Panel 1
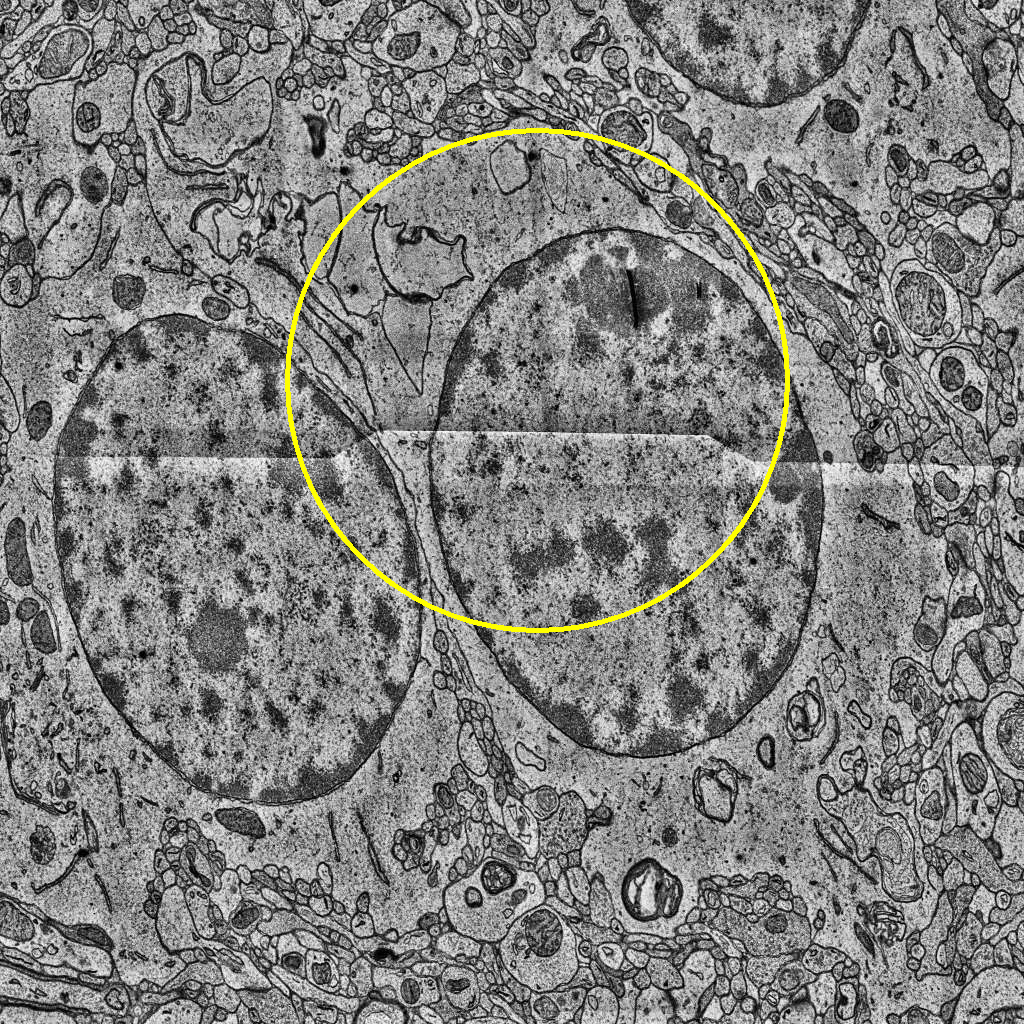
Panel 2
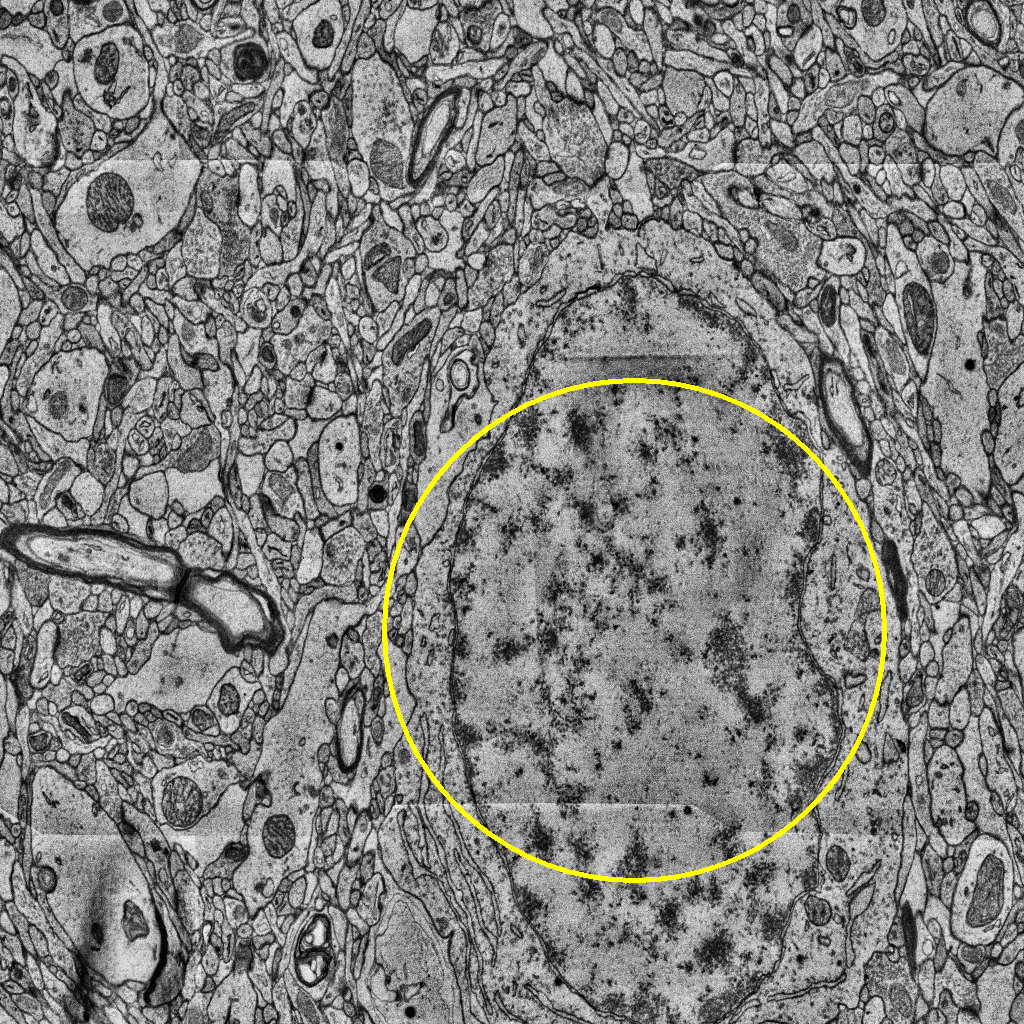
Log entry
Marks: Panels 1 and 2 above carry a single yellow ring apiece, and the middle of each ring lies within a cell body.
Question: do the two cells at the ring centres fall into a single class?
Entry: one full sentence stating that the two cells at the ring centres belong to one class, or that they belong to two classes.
The two cells at the ring centres in Panels 1 and 2 belong to two classes.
